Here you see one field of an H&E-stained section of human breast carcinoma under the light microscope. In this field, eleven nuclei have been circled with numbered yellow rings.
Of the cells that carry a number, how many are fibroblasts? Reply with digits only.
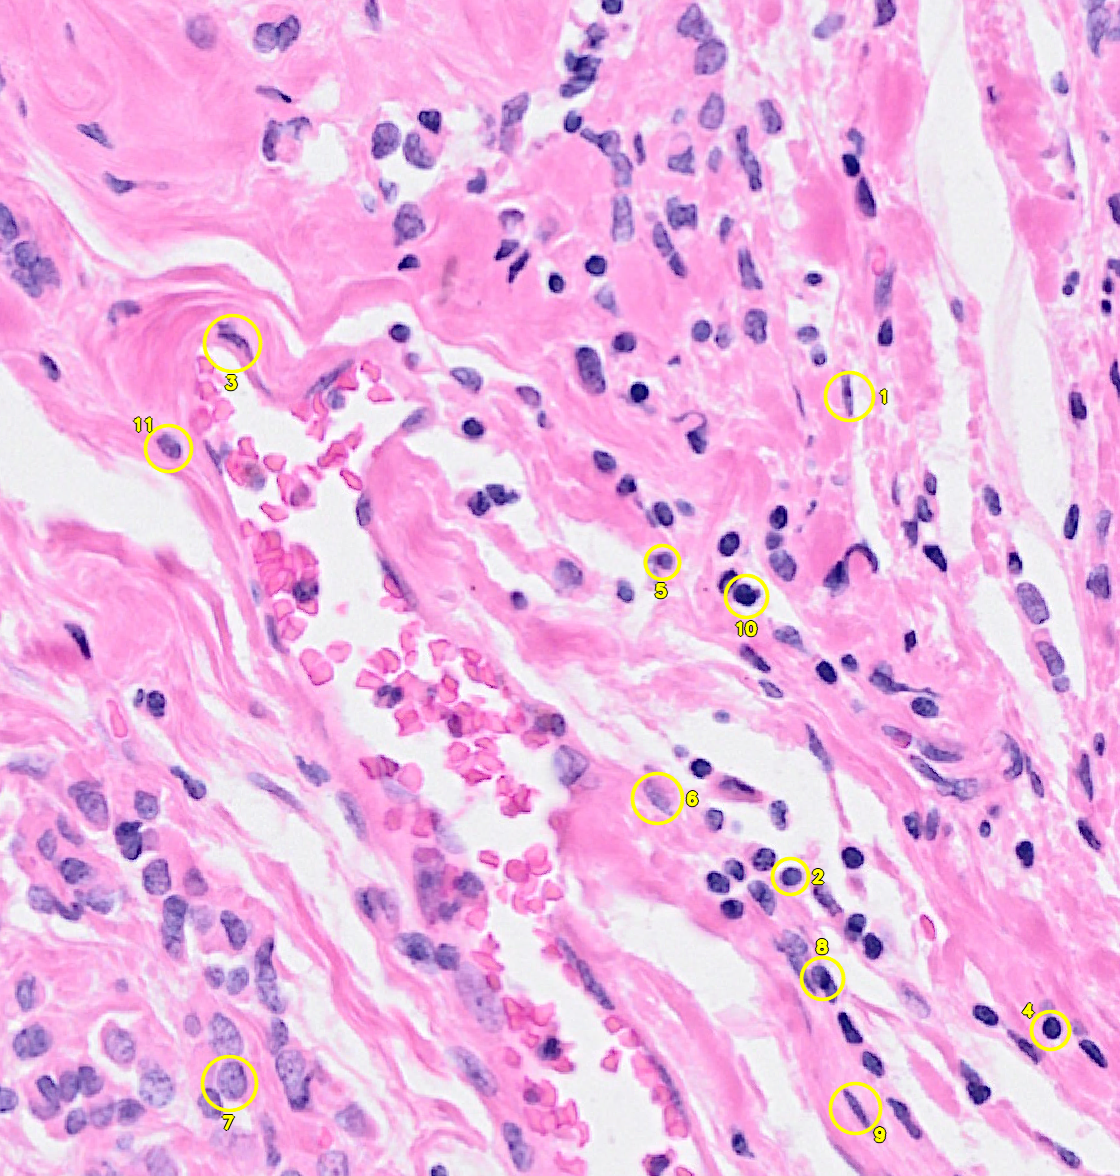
3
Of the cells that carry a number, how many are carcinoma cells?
1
